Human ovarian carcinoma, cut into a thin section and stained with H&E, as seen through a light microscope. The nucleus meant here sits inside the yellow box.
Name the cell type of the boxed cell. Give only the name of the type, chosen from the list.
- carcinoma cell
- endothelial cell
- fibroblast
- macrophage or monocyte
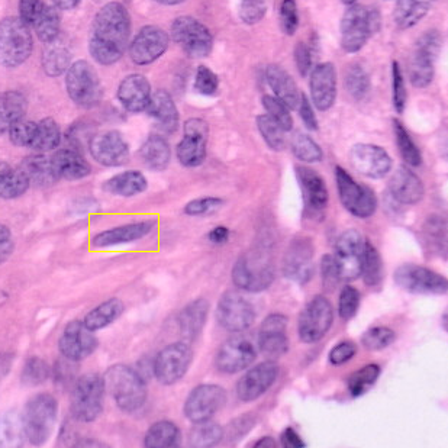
endothelial cell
